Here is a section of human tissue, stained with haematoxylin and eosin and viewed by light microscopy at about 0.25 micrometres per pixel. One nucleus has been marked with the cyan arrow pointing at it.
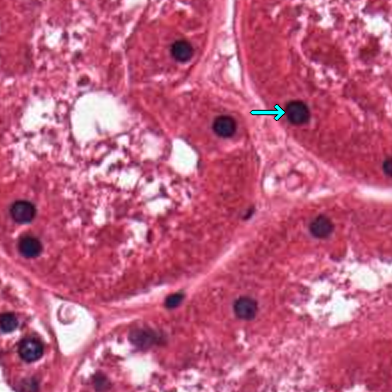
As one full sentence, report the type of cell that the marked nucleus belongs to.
The marked nucleus is seen to belong to a proximal tubule cell.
